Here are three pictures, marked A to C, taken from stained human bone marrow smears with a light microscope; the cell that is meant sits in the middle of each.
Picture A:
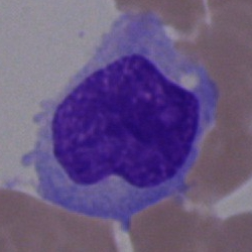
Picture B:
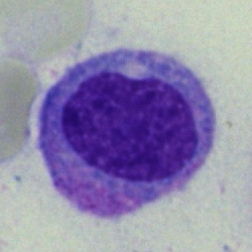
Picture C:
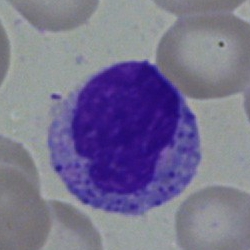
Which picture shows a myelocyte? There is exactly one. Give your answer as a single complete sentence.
Picture C shows the myelocyte.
